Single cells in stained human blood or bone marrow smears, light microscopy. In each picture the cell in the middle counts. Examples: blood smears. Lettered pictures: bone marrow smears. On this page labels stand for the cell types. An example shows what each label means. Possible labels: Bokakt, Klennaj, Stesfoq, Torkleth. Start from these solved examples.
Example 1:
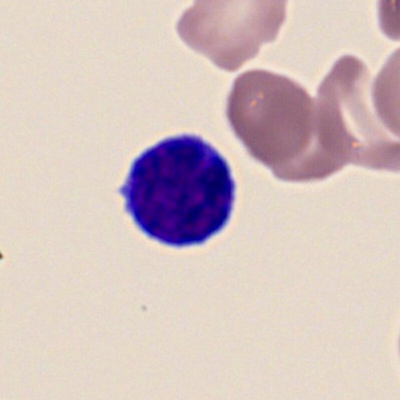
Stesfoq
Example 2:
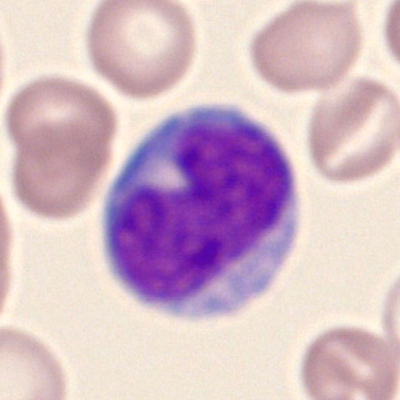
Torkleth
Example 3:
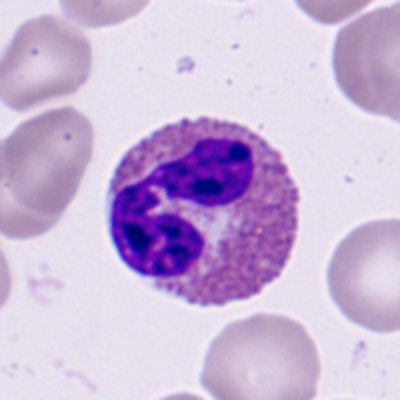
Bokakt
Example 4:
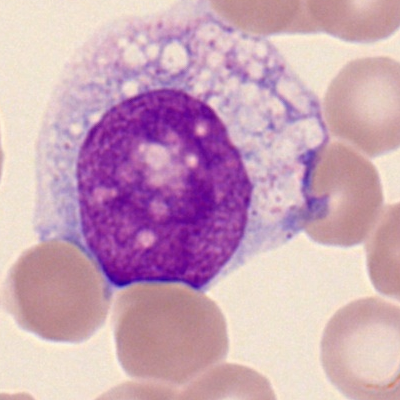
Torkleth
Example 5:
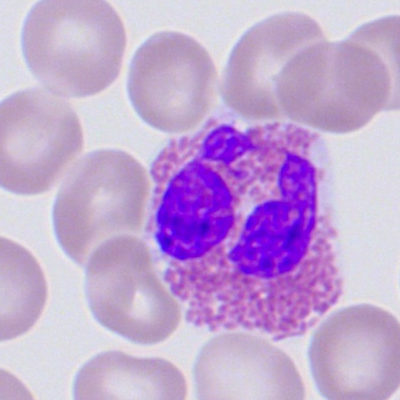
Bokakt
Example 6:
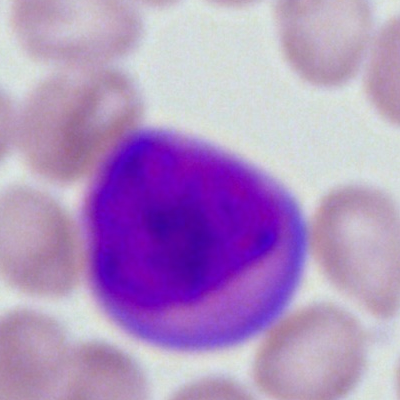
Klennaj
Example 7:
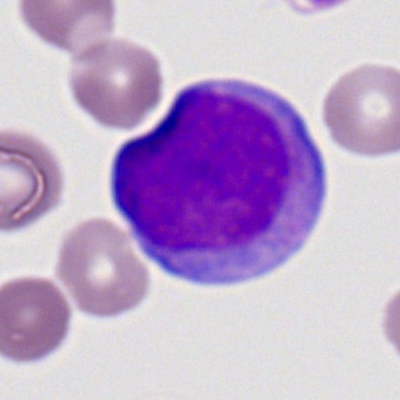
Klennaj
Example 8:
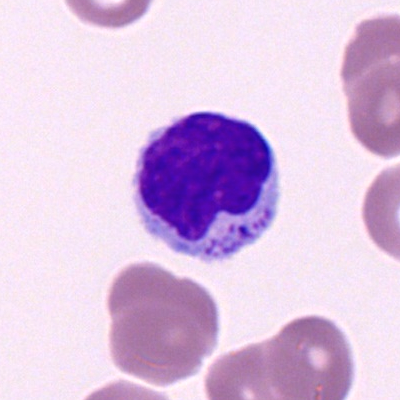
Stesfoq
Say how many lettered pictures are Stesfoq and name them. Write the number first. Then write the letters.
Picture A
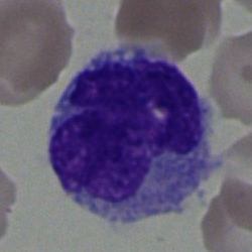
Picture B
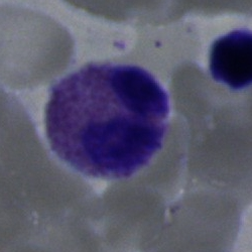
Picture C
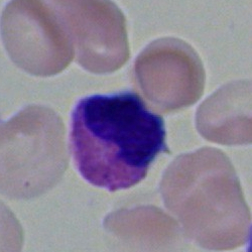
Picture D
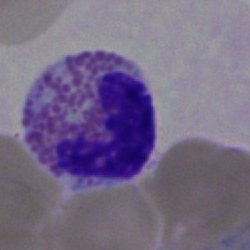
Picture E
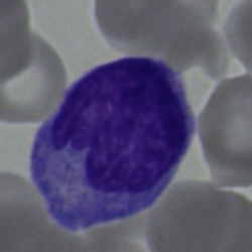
0, none of them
